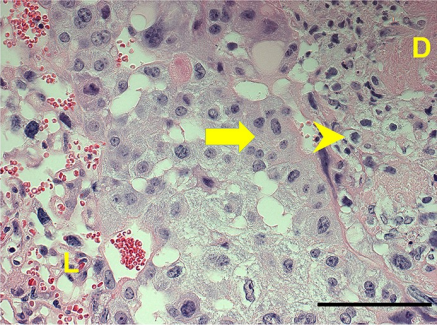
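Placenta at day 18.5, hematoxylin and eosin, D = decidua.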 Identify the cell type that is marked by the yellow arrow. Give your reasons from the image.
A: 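The arrow points at closely packed cells with round nuclei and pale purple cytoplasm.
Conclusion: spongiotrophoblast cells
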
